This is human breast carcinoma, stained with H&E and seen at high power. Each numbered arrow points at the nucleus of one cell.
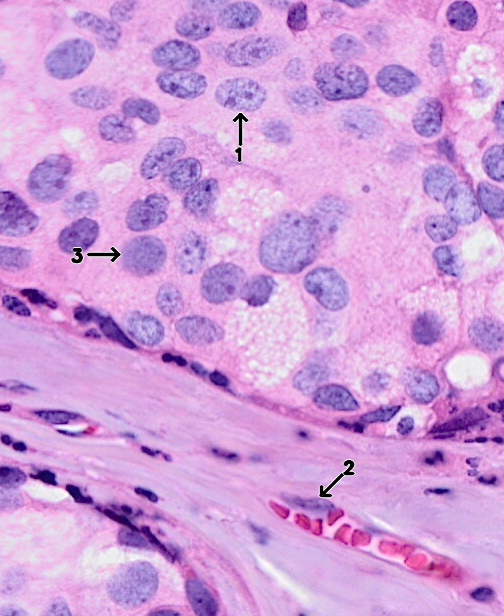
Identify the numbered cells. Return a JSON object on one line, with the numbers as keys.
{"1": "carcinoma cell", "2": "endothelial cell", "3": "carcinoma cell"}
